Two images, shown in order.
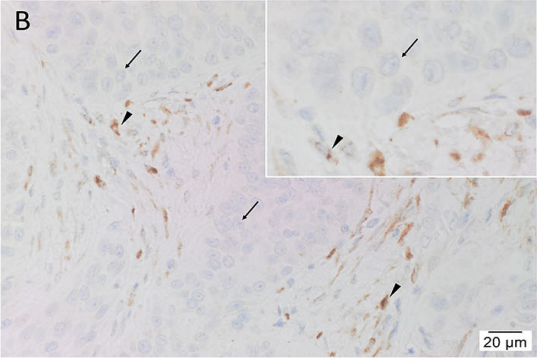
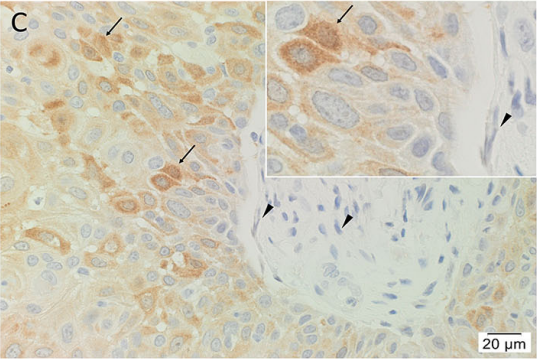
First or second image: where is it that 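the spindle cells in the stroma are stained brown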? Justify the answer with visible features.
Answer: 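Second image: the spindle-shaped stromal cells have only blue nuclei and no brown colour. First image: many elongated cells in the stroma are brown. The answer: the first image.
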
